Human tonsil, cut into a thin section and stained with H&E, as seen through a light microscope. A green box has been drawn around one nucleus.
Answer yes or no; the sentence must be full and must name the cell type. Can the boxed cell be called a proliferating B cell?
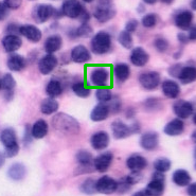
No, the boxed cell corresponds to a small lymphocyte rather than to a proliferating B cell.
